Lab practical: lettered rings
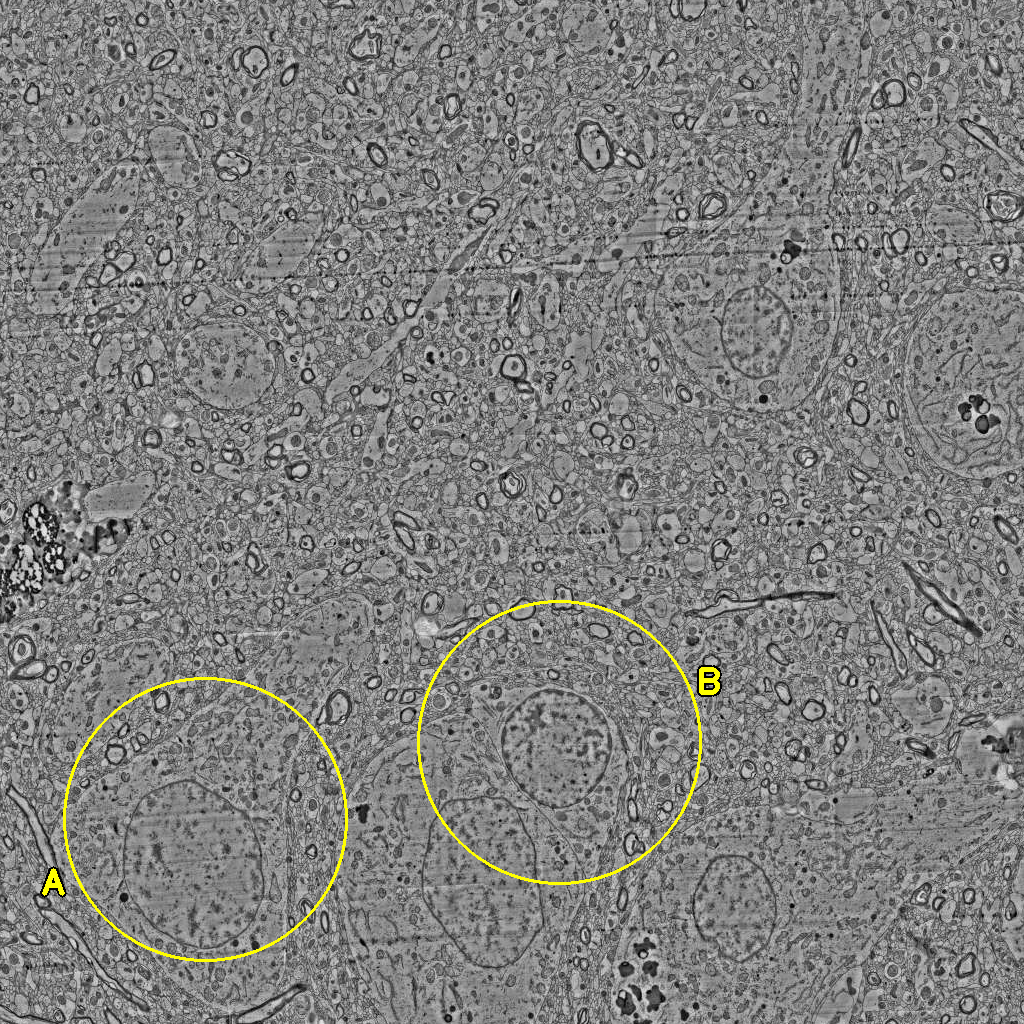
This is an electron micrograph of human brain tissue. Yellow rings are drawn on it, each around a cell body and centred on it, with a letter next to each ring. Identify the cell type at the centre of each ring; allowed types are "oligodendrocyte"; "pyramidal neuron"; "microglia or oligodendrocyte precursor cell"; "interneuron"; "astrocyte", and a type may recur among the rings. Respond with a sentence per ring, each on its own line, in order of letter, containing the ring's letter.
Lying at the centre of ring A is a pyramidal neuron.
Lying at the centre of ring B is a microglial cell or oligodendrocyte precursor cell.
